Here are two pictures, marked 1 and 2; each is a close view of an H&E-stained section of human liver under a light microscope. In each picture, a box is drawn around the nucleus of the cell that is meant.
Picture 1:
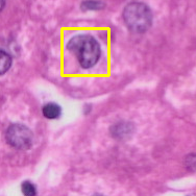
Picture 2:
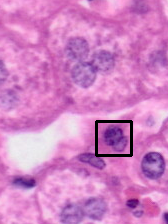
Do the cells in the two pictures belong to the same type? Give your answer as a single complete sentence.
No, they differ: the cell is a hepatocyte in picture 1 and a Kupffer cell in picture 2.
